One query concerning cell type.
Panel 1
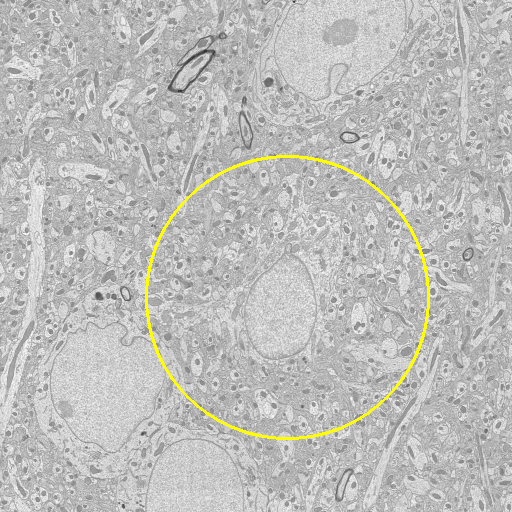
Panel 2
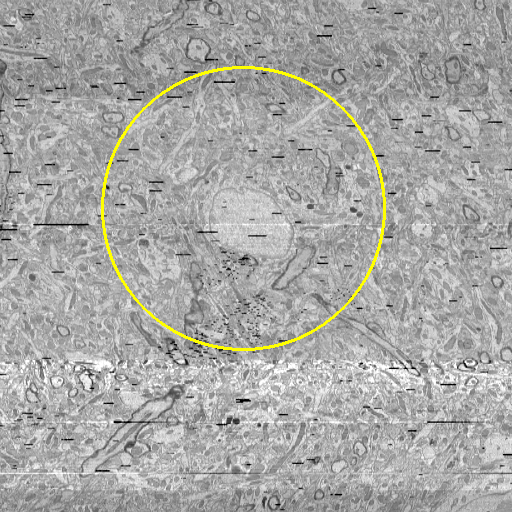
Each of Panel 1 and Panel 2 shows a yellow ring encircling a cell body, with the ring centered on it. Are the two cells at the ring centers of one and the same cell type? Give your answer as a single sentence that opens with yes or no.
Yes, the cell centered in Panel 1 and the one in Panel 2 share a type.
